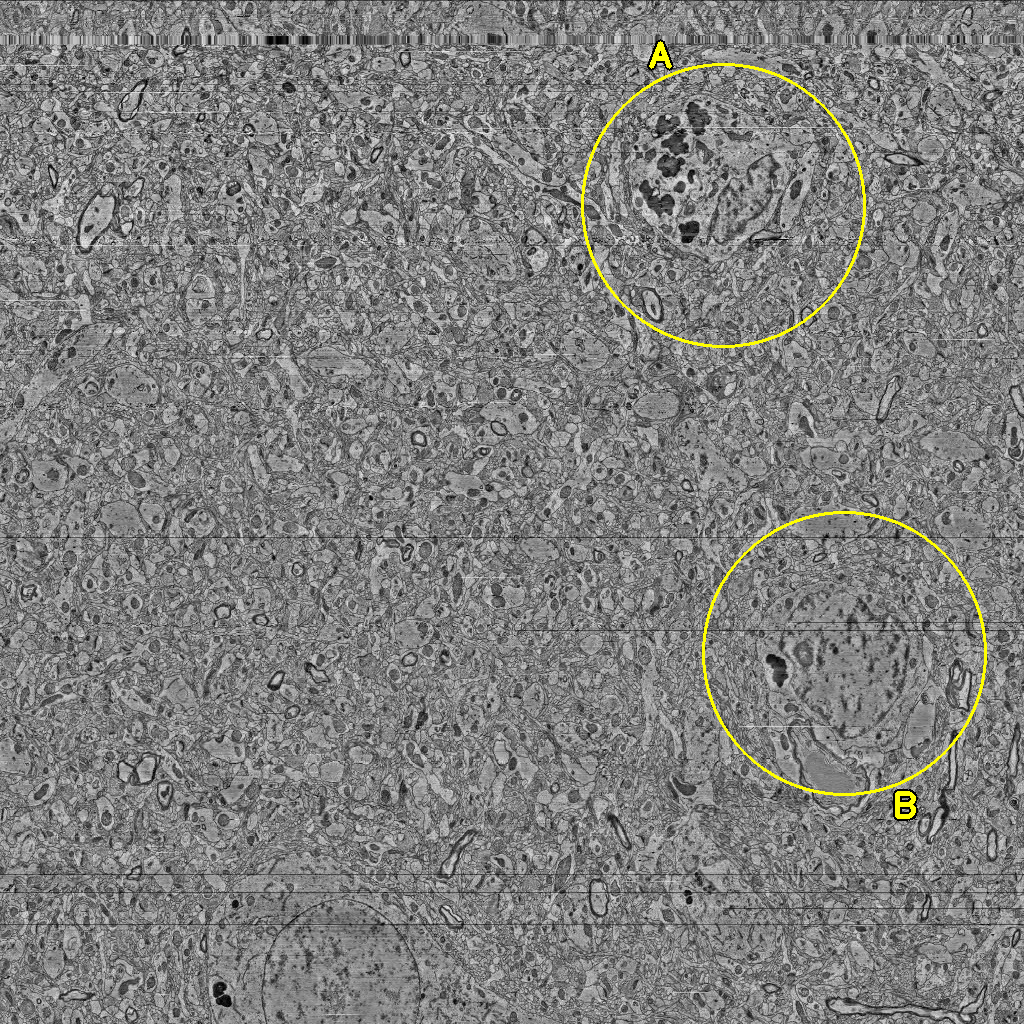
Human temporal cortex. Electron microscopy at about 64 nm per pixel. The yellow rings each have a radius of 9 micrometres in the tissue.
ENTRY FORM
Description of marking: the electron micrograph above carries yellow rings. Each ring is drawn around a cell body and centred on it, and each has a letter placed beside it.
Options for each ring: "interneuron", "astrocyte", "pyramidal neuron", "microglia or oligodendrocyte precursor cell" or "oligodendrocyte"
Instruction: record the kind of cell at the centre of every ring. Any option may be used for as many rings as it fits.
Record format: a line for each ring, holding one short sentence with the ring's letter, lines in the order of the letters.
Ring A surrounds the cell body of an interneuron.
Ring B surrounds the cell body of an interneuron.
